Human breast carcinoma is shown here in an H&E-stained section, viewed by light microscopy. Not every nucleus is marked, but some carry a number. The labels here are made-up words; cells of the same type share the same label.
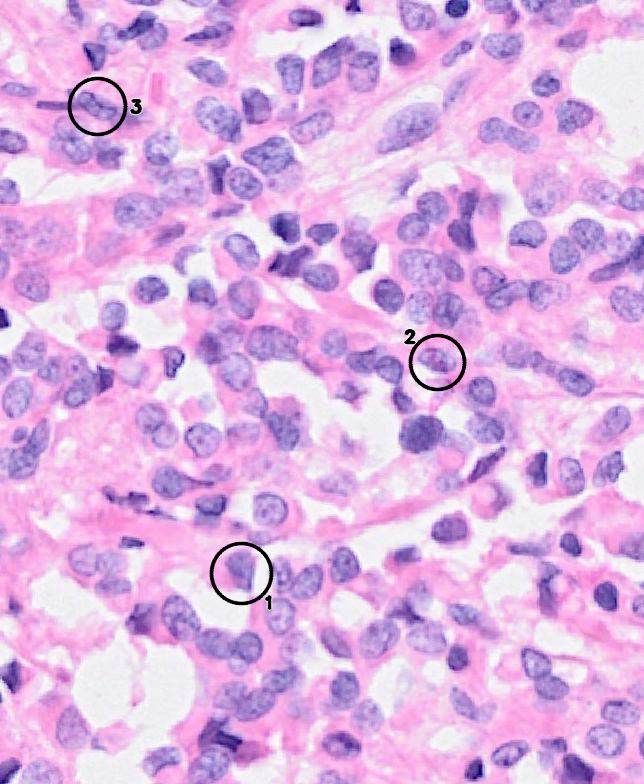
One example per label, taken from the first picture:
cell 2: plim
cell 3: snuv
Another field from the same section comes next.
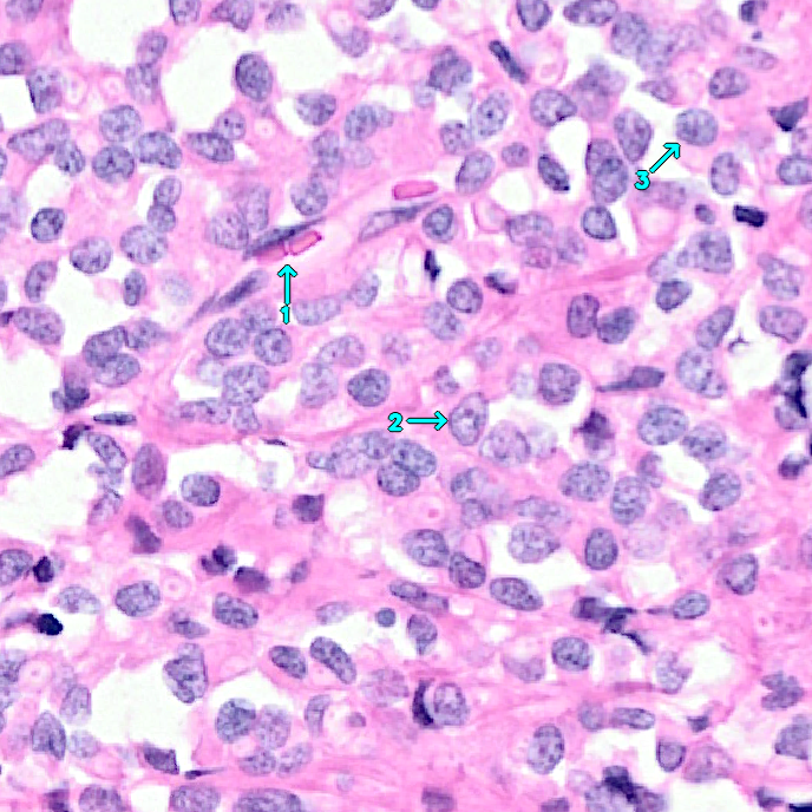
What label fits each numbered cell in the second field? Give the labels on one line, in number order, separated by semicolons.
snuv; plim; plim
